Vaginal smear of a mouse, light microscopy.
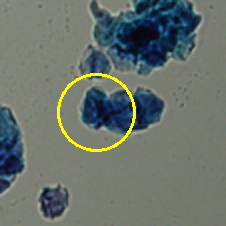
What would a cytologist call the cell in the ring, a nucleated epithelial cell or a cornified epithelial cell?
A cytologist would call it a cornified epithelial cell.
